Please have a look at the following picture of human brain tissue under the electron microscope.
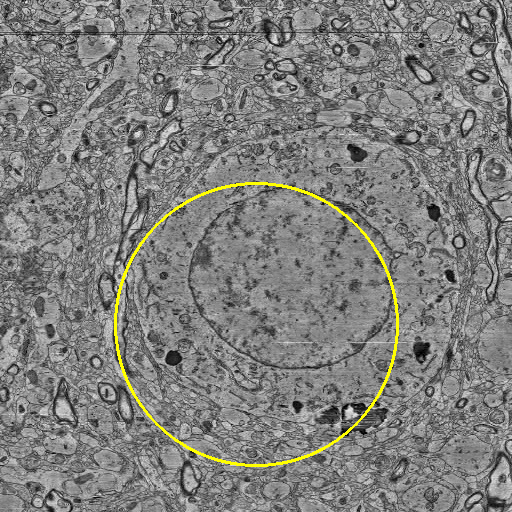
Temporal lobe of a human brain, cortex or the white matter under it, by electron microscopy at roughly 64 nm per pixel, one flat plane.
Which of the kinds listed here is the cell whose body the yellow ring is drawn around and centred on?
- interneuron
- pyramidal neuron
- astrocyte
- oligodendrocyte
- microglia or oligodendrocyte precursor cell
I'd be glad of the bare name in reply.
pyramidal neuron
